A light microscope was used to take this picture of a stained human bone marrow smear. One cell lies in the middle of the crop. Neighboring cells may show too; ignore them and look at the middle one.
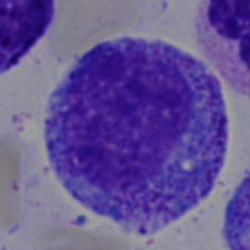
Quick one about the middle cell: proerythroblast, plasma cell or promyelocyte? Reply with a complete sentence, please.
This crop has a promyelocyte at its centre.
